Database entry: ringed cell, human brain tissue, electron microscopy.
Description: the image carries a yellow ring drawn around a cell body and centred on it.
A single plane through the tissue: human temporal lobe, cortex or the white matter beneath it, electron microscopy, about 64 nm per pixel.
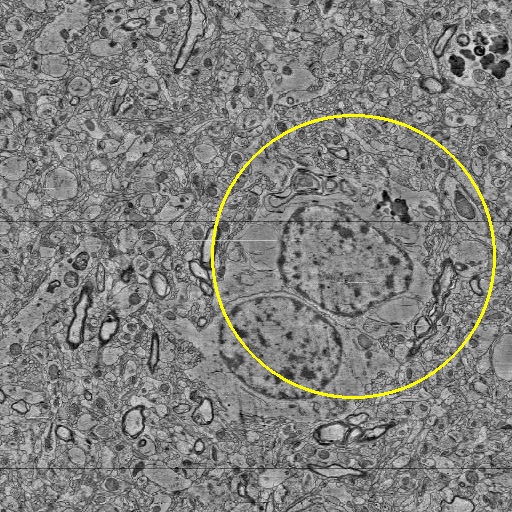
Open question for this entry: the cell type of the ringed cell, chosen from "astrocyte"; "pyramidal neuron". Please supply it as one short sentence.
The ringed cell is an astrocyte.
